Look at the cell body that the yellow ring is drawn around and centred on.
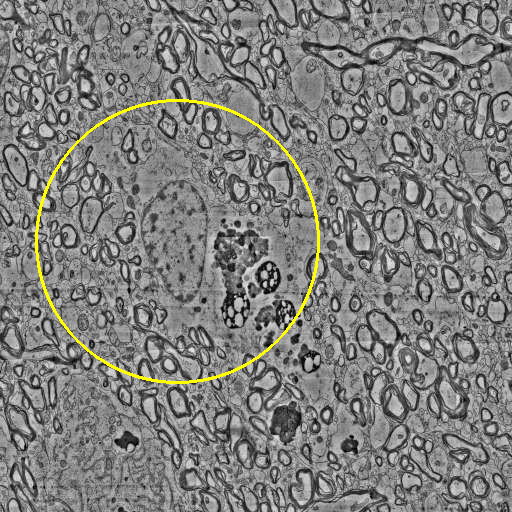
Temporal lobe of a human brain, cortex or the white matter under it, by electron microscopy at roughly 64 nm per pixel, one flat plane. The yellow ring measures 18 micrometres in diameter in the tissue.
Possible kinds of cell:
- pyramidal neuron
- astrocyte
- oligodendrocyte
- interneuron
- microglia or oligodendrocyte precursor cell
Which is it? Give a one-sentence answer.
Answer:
The centred cell body is that of an astrocyte.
